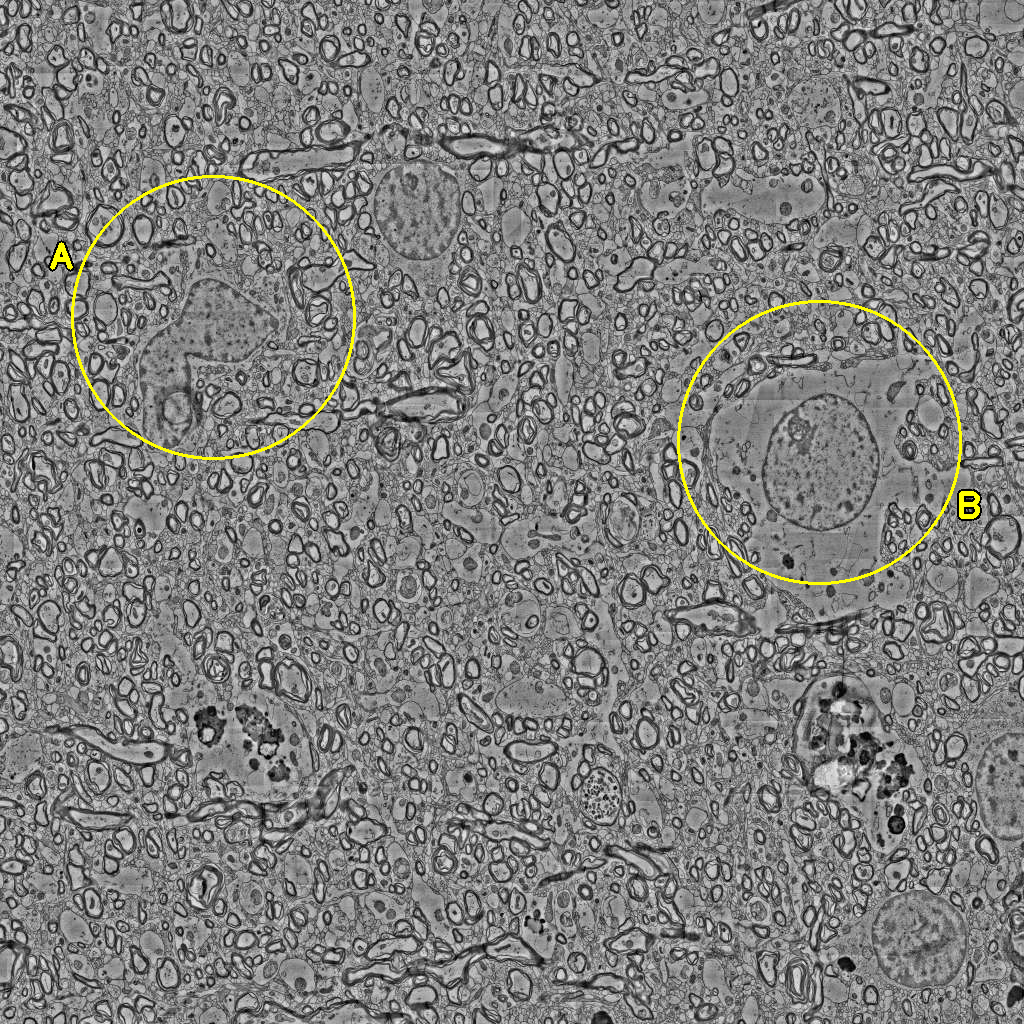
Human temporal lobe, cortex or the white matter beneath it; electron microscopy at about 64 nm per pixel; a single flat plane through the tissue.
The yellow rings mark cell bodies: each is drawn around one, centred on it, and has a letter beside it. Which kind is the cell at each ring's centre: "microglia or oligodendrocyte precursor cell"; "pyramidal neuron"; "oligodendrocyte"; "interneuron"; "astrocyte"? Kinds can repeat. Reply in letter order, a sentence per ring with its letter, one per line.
At the centre of ring A lies a microglial cell or oligodendrocyte precursor cell.
At the centre of ring B lies an astrocyte.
